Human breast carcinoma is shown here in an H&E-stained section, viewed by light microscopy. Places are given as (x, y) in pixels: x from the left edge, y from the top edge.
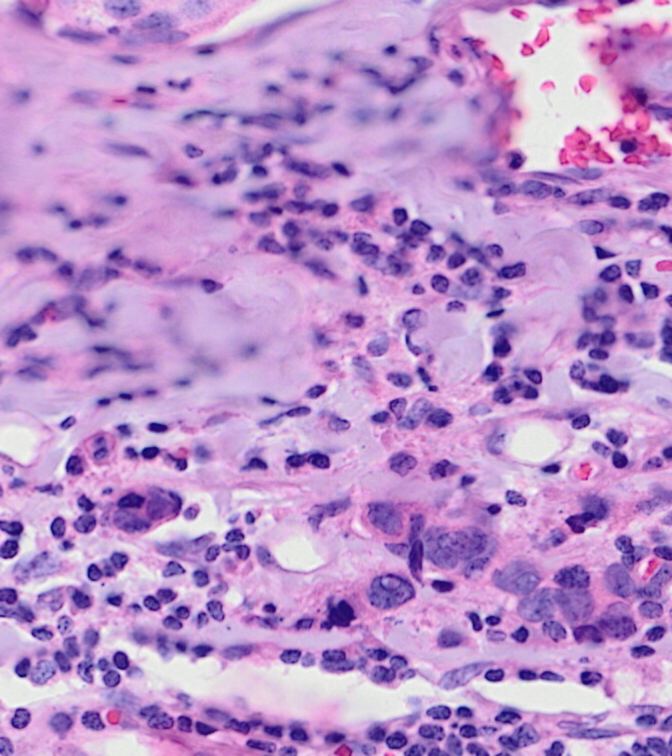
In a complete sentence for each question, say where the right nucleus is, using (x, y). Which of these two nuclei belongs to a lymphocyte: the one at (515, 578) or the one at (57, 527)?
The nucleus belonging to a lymphocyte is the one at (57, 527).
